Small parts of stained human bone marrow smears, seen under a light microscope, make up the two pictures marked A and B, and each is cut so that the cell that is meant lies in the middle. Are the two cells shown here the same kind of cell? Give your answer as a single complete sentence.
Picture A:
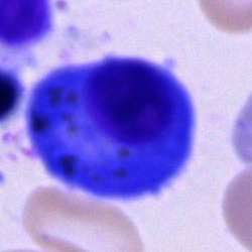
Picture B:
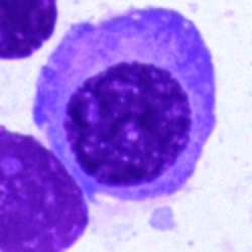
Yes, the two pictures both show plasma cells.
